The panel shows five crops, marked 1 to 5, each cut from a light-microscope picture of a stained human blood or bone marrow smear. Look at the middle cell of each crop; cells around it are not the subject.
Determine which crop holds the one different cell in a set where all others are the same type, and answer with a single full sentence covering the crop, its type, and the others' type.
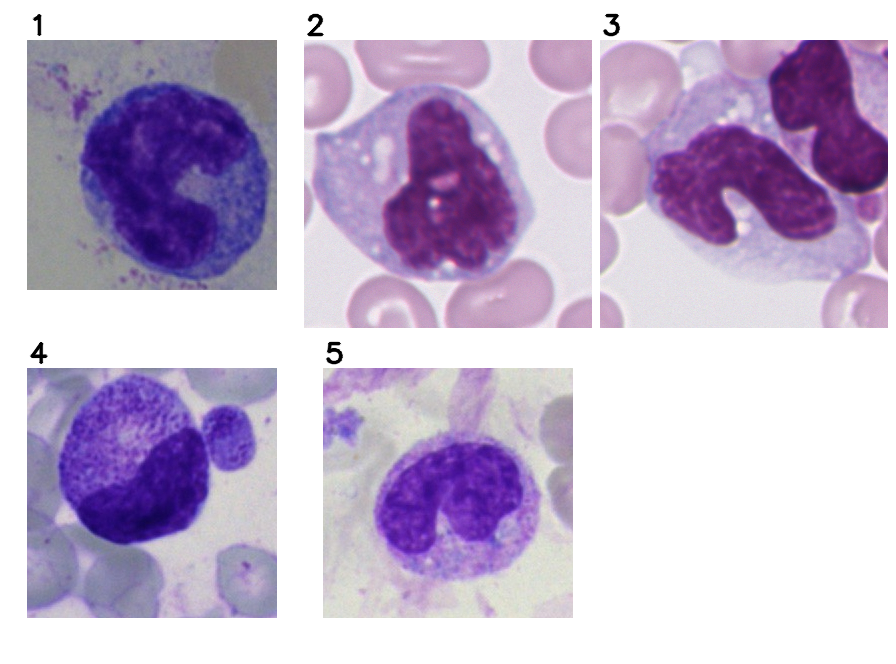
What sets crop 4 apart is that it shows a metamyelocyte, while the others show monocytes.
